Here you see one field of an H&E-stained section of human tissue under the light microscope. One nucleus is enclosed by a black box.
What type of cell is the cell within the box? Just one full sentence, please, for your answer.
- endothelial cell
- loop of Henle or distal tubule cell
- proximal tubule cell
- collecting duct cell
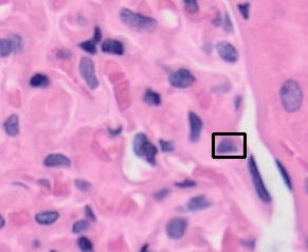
Within the stained tissue, the cell within the box is an endothelial cell.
